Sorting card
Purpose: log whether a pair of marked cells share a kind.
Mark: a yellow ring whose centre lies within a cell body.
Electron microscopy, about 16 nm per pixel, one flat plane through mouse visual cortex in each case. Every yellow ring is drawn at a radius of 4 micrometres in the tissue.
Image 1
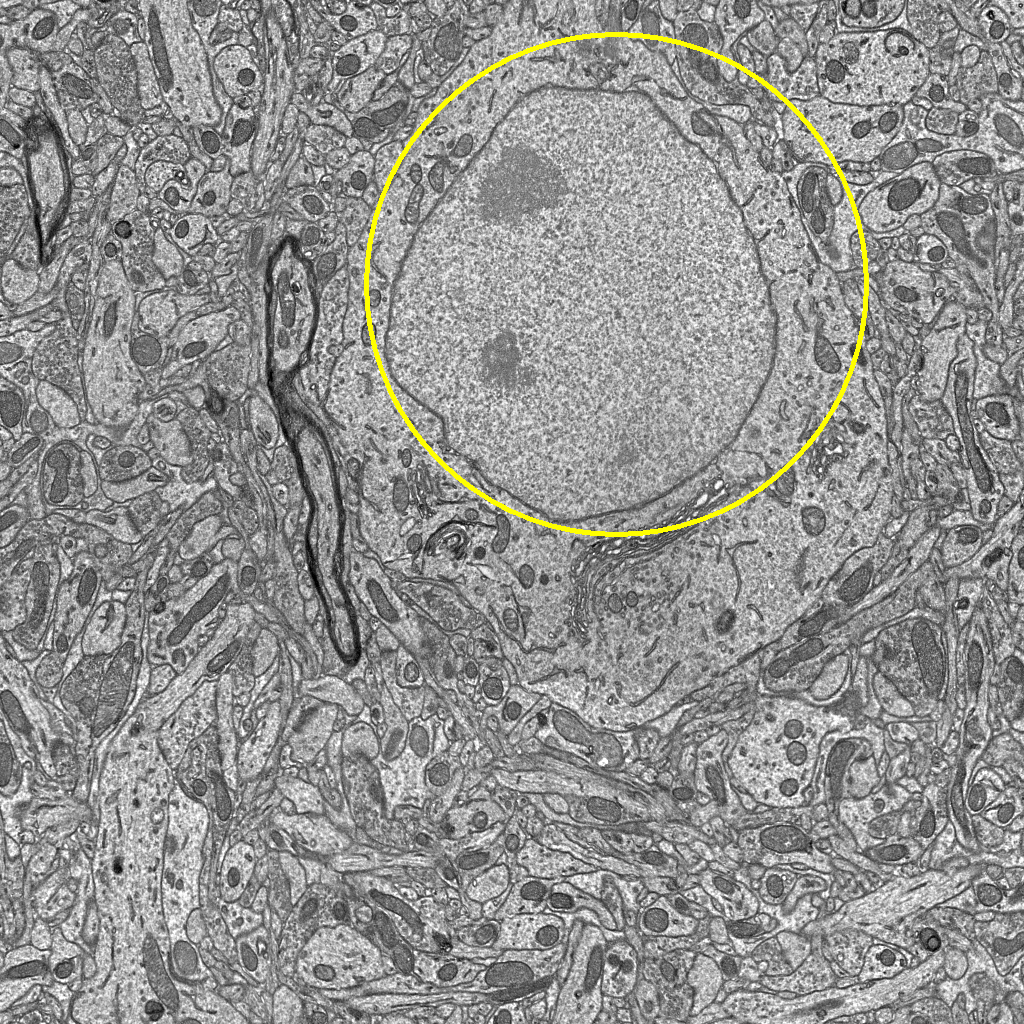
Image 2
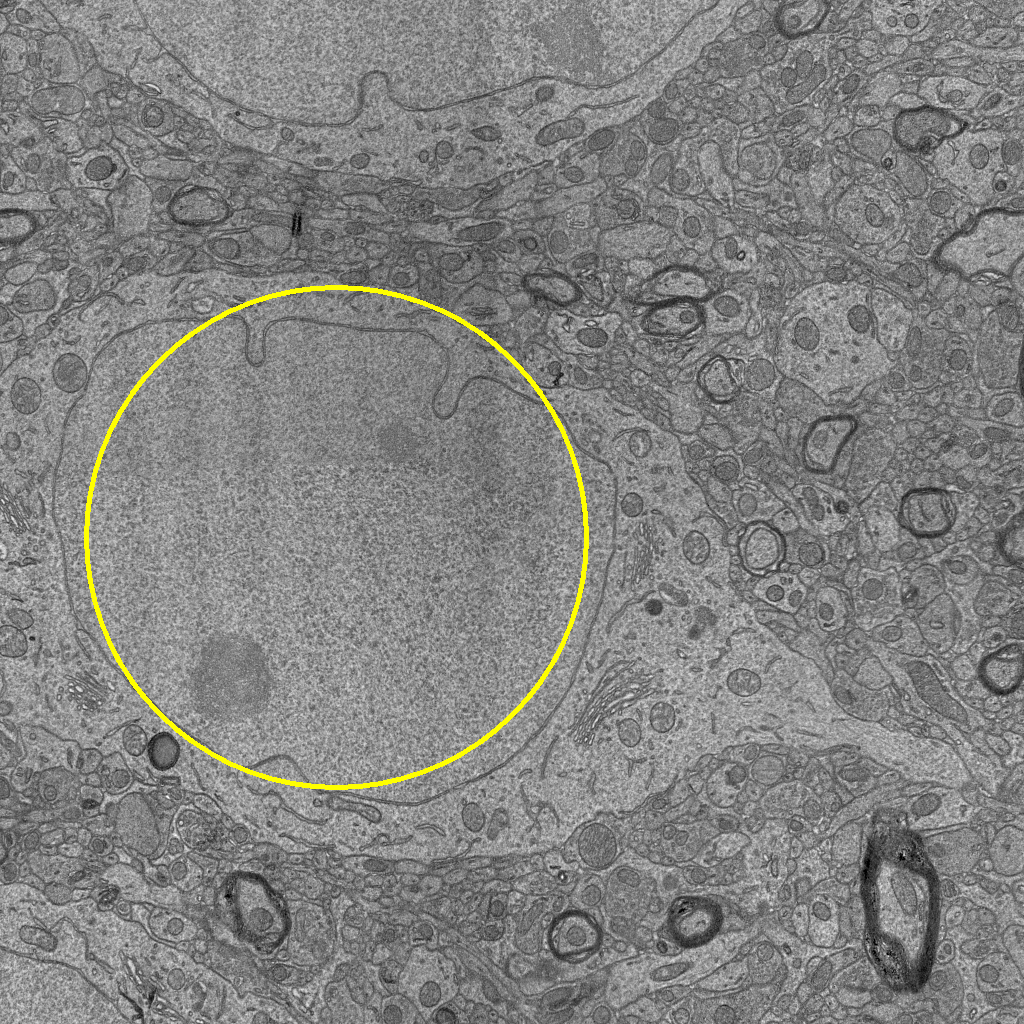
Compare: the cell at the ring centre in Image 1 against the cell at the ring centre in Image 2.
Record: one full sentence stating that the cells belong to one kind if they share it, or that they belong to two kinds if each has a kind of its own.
Across Images 1 and 2, the two cells at the ring centres belong to one kind.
